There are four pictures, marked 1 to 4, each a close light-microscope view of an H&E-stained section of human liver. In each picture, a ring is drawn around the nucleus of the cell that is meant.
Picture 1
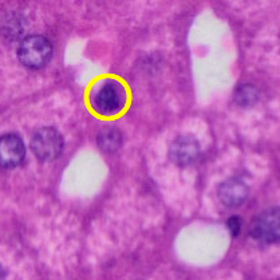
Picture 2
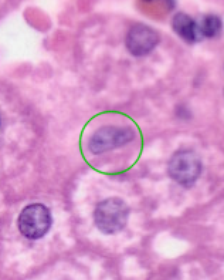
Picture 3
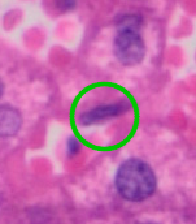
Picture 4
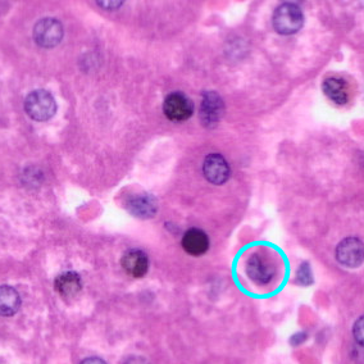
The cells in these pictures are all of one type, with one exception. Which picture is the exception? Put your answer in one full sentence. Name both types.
The others show Kupffer cells, but picture 1 shows a “fibroblast or stellate cell”.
